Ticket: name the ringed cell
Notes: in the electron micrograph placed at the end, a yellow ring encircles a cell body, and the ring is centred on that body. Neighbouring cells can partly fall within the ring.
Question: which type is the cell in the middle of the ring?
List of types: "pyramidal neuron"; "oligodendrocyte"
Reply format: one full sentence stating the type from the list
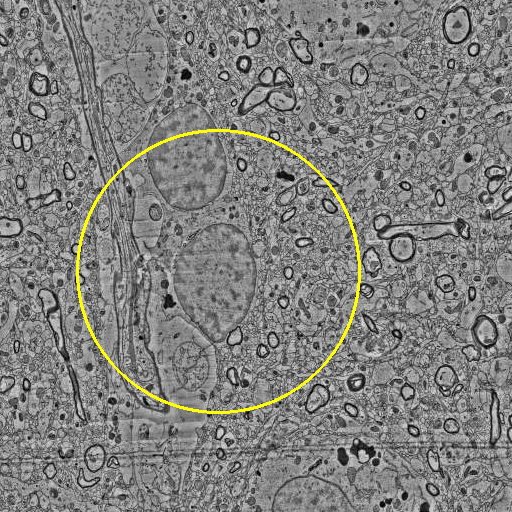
The cell sitting at the centre of the yellow ring is an oligodendrocyte.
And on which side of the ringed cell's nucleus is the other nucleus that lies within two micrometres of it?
The second nucleus sits above it.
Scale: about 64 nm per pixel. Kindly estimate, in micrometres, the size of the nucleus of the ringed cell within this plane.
The nucleus of the ringed cell is approximately 8 by 5 micrometres in this plane.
